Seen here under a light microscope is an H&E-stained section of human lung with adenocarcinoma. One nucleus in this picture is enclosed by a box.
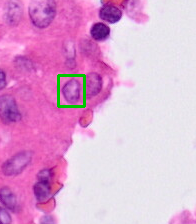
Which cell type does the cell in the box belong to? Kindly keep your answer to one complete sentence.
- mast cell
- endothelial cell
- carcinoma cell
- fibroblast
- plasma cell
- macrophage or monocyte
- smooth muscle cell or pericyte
In cell-type terms, the cell in the box is a macrophage or monocyte.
